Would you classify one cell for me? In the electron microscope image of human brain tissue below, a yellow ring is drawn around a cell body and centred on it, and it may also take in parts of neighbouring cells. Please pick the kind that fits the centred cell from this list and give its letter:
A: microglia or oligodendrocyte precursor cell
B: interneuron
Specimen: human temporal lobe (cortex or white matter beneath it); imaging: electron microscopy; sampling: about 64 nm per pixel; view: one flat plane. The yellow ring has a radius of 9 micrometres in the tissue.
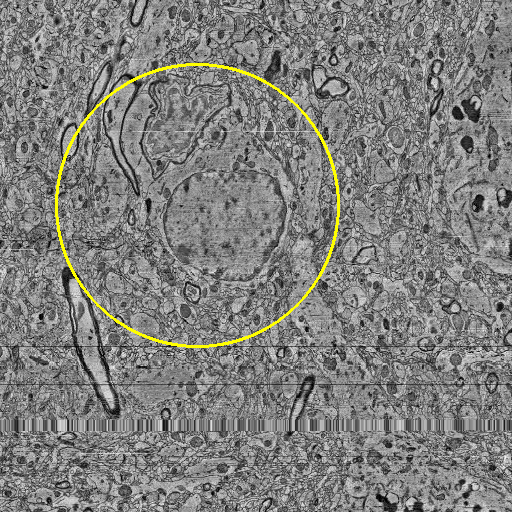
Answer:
A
